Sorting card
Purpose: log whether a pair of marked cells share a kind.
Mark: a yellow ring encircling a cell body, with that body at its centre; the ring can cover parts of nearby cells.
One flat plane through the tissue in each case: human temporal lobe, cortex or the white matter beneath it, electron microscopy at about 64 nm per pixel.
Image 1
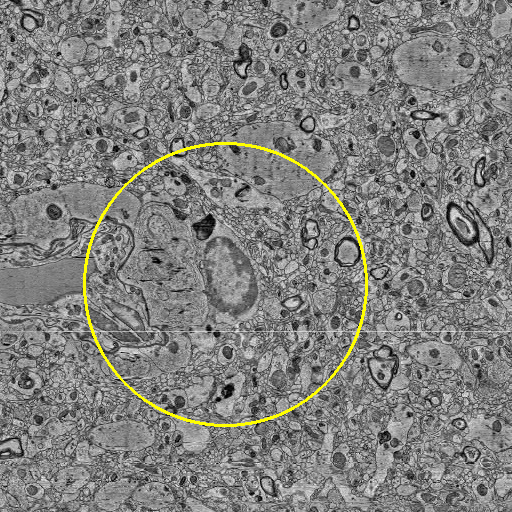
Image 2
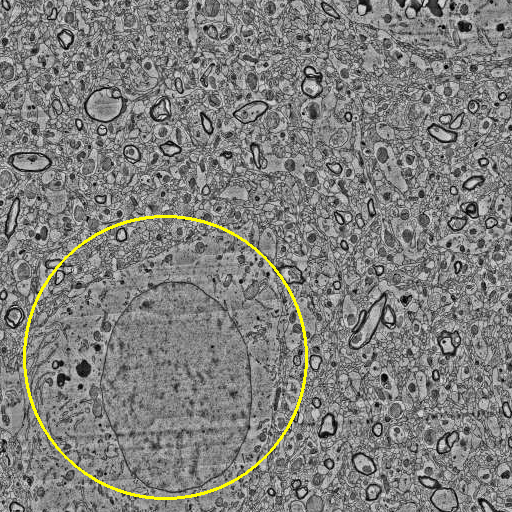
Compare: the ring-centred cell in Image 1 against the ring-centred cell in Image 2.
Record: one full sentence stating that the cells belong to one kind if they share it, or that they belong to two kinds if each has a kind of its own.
Across Images 1 and 2, the two ring-centred cells belong to two kinds.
